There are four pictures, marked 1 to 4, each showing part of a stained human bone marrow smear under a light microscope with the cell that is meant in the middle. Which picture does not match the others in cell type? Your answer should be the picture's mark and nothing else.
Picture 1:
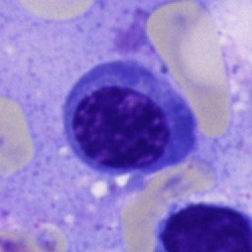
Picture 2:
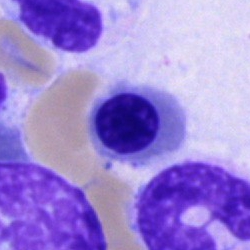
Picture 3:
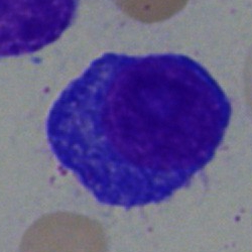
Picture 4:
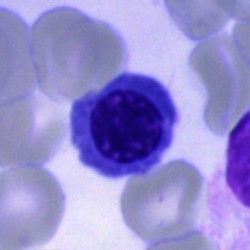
3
